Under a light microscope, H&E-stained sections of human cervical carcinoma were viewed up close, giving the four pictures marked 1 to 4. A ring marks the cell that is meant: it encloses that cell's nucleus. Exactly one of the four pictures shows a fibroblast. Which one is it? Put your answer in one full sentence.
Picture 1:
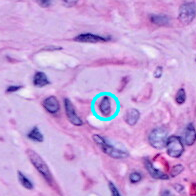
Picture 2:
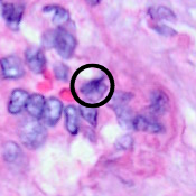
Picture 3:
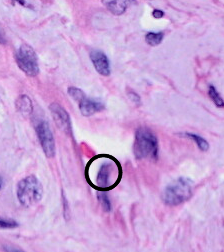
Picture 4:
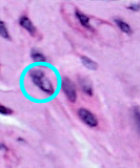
Picture 4 is the one that shows the fibroblast.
